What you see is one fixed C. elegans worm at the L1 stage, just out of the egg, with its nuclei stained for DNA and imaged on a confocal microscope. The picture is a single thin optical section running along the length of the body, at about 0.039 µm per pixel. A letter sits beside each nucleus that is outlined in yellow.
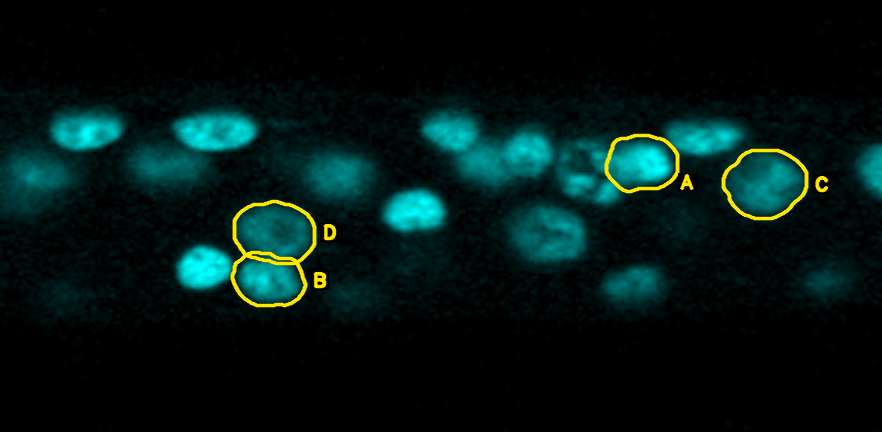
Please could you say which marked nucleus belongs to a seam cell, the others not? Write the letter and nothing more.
C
